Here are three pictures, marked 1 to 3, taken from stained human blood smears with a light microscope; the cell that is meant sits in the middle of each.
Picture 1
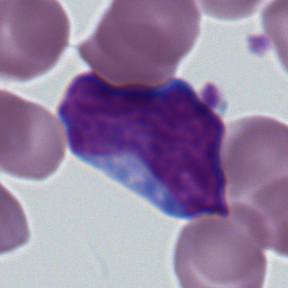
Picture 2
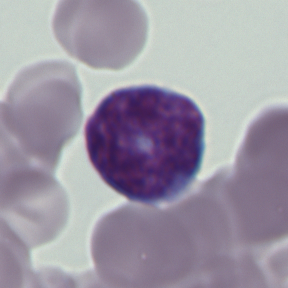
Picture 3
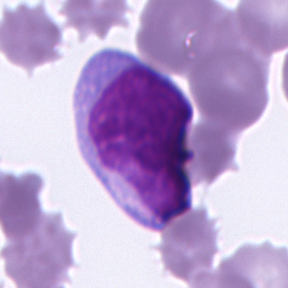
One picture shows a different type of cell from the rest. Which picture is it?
2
